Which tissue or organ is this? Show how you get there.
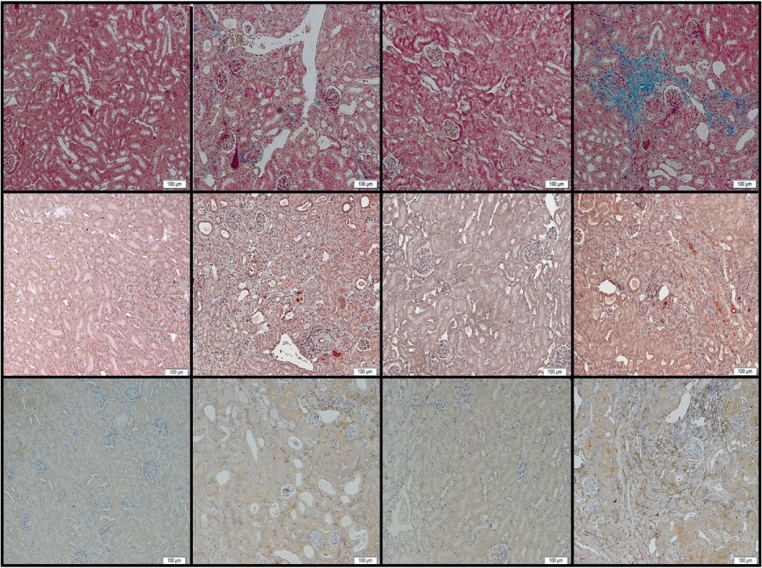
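Round glomerular tufts scattered among tubules. Densely packed tubular cross-sections with small lumens. On this evidence: kidney.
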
